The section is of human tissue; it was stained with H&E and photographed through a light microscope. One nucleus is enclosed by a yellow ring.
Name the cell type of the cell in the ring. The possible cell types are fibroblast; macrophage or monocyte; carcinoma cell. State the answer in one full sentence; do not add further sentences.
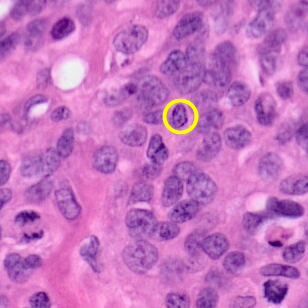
On this particular slide, the cell in the ring is a macrophage or monocyte.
